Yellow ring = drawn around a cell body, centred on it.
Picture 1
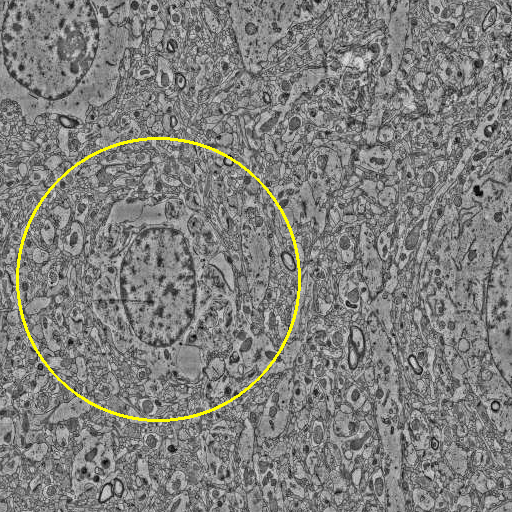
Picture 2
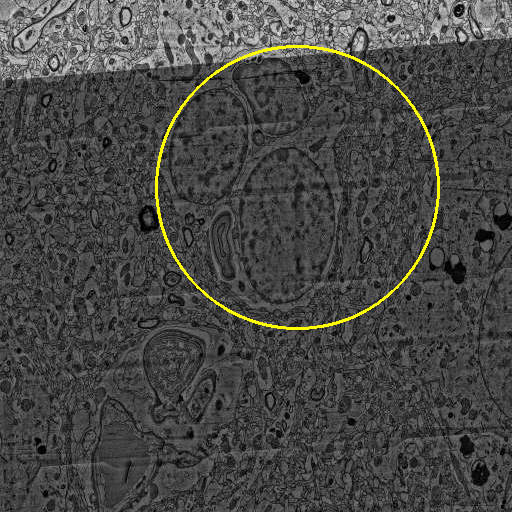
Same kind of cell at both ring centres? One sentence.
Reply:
Yes, they are the same kind of cell.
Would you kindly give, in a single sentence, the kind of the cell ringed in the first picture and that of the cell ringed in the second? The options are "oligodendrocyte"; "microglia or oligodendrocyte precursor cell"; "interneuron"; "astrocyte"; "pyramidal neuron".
The ring centre holds an astrocyte in each of the two pictures.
